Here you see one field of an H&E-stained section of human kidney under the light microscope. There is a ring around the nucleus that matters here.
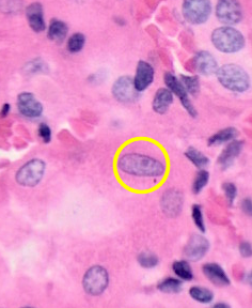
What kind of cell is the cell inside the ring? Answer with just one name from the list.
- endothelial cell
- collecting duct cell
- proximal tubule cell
proximal tubule cell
